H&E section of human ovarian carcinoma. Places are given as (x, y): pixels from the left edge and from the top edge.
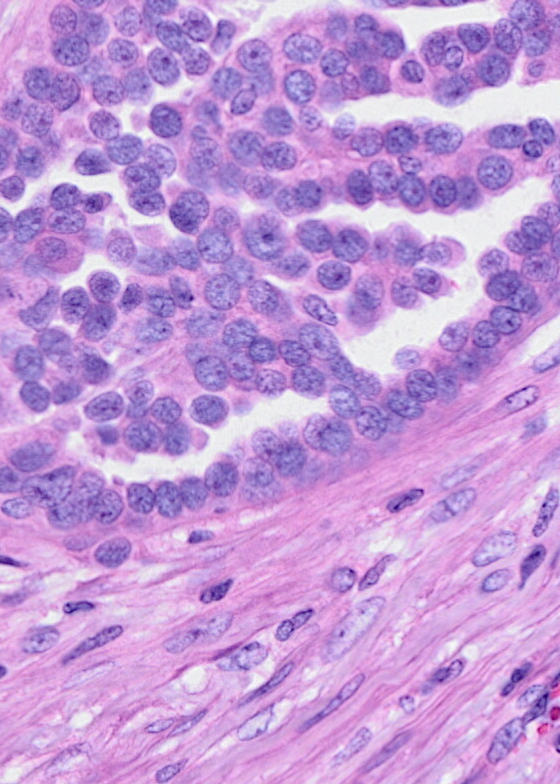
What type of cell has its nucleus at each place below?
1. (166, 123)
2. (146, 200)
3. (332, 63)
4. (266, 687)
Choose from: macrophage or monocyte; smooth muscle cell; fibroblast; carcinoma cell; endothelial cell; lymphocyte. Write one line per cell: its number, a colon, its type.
1: carcinoma cell
2: carcinoma cell
3: carcinoma cell
4: fibroblast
